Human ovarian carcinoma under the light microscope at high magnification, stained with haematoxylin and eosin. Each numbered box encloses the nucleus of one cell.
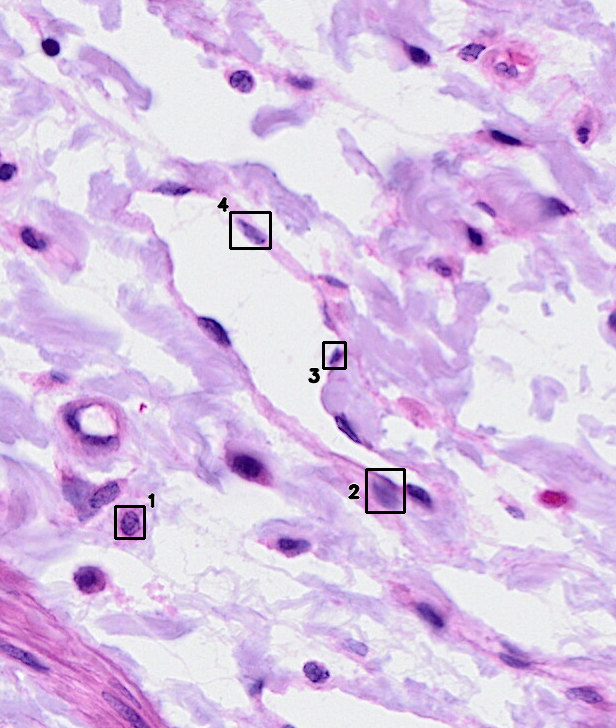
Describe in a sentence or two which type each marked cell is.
Cell 1 is a macrophage or monocyte, cell 2 is an endothelial cell, cell 3 is an endothelial cell and cell 4 is an endothelial cell.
